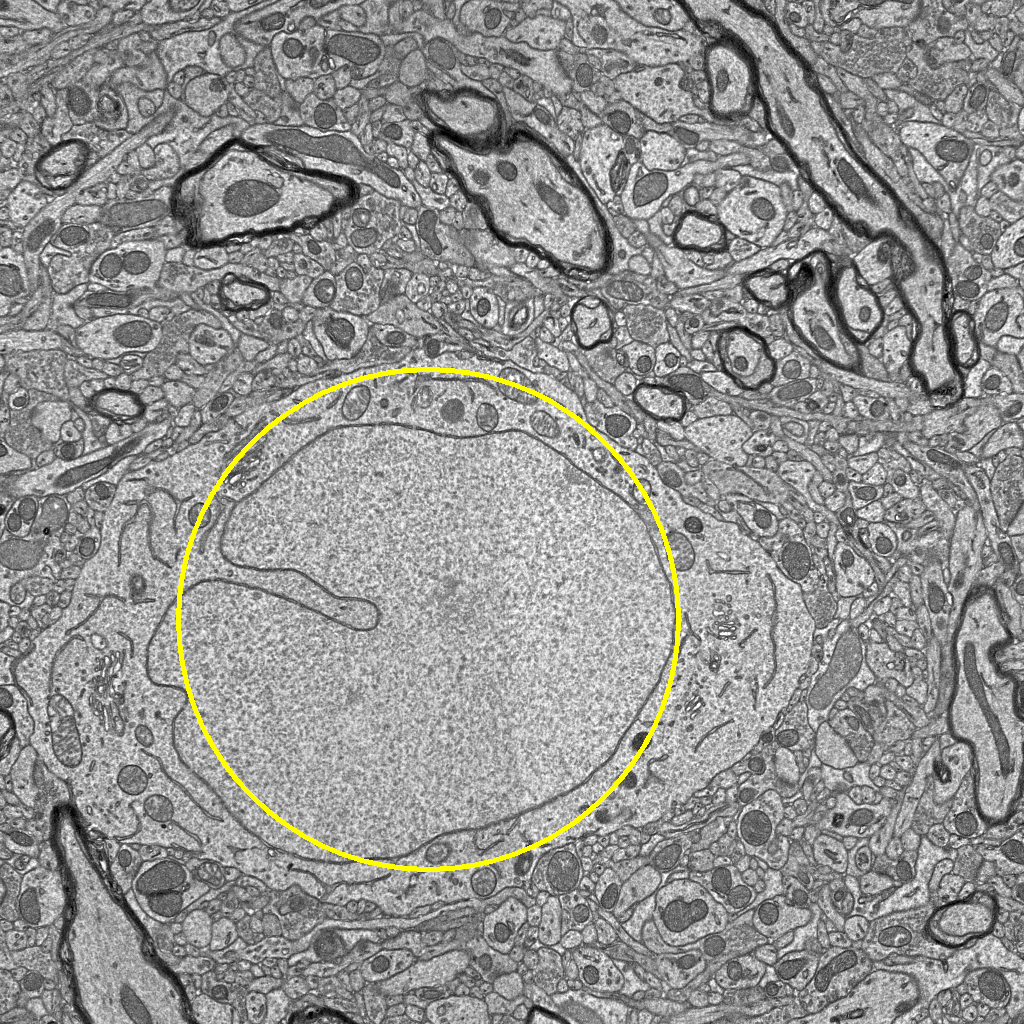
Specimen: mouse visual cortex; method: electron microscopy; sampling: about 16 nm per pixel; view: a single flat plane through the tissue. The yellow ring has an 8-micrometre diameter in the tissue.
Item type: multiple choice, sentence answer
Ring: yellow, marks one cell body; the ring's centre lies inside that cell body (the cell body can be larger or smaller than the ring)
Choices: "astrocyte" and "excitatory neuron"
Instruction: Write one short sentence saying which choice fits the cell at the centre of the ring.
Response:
The centre of this ring lies on an excitatory neuron.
